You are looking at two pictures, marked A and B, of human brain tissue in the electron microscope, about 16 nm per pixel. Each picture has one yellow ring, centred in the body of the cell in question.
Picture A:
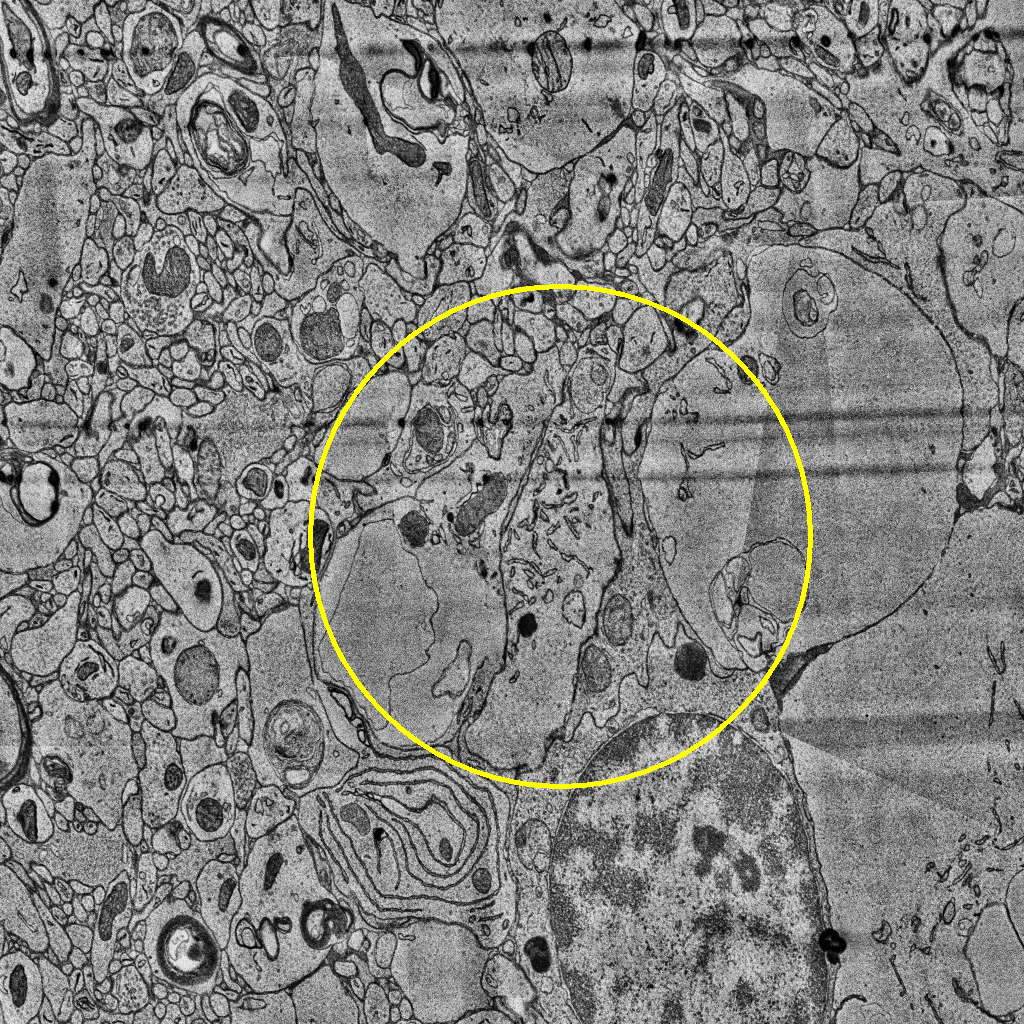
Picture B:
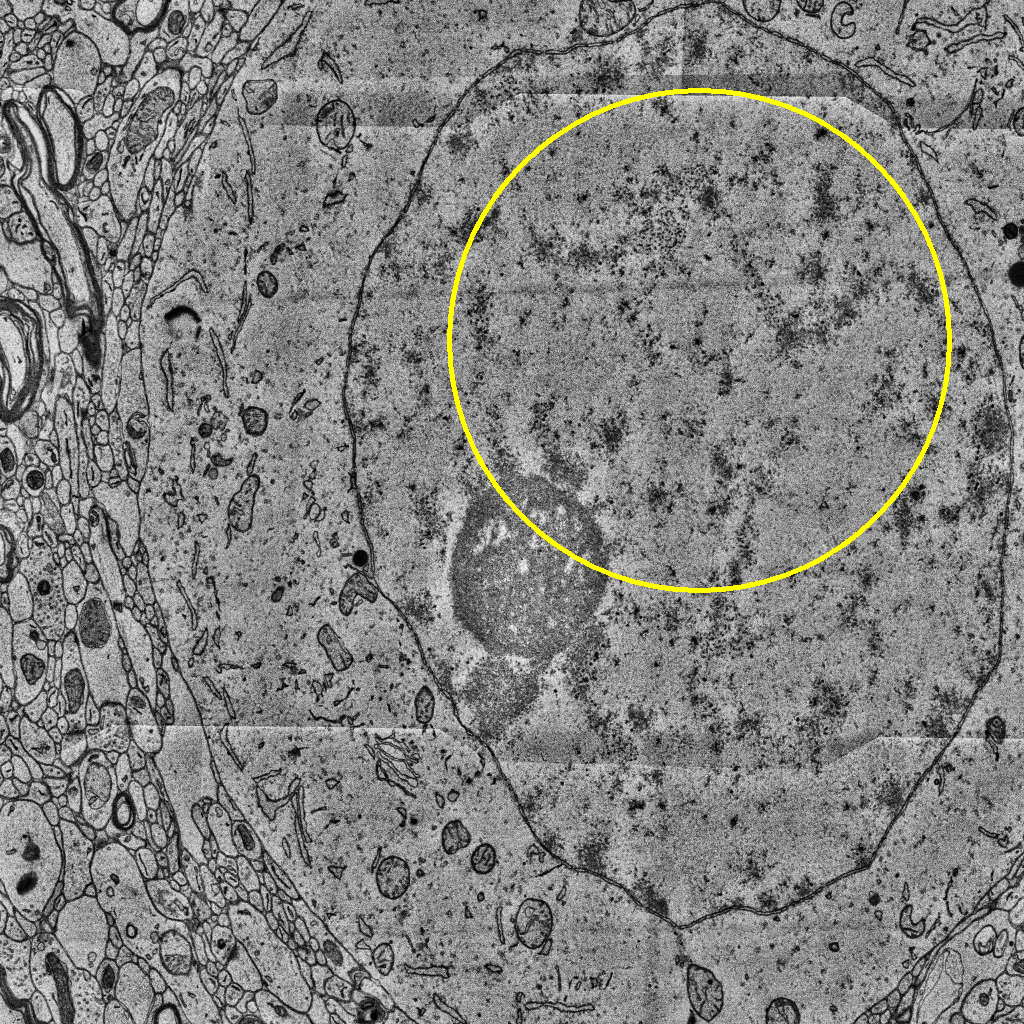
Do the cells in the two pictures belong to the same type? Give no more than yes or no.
no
